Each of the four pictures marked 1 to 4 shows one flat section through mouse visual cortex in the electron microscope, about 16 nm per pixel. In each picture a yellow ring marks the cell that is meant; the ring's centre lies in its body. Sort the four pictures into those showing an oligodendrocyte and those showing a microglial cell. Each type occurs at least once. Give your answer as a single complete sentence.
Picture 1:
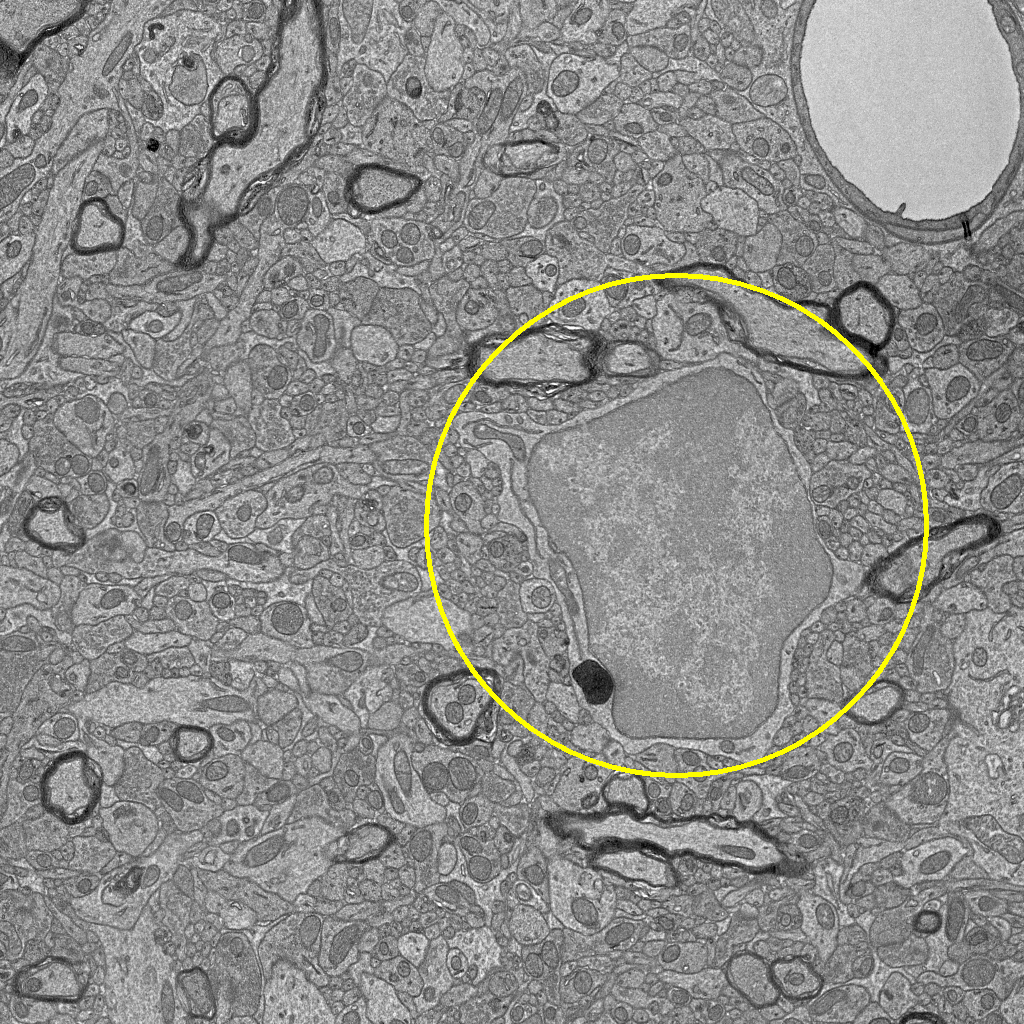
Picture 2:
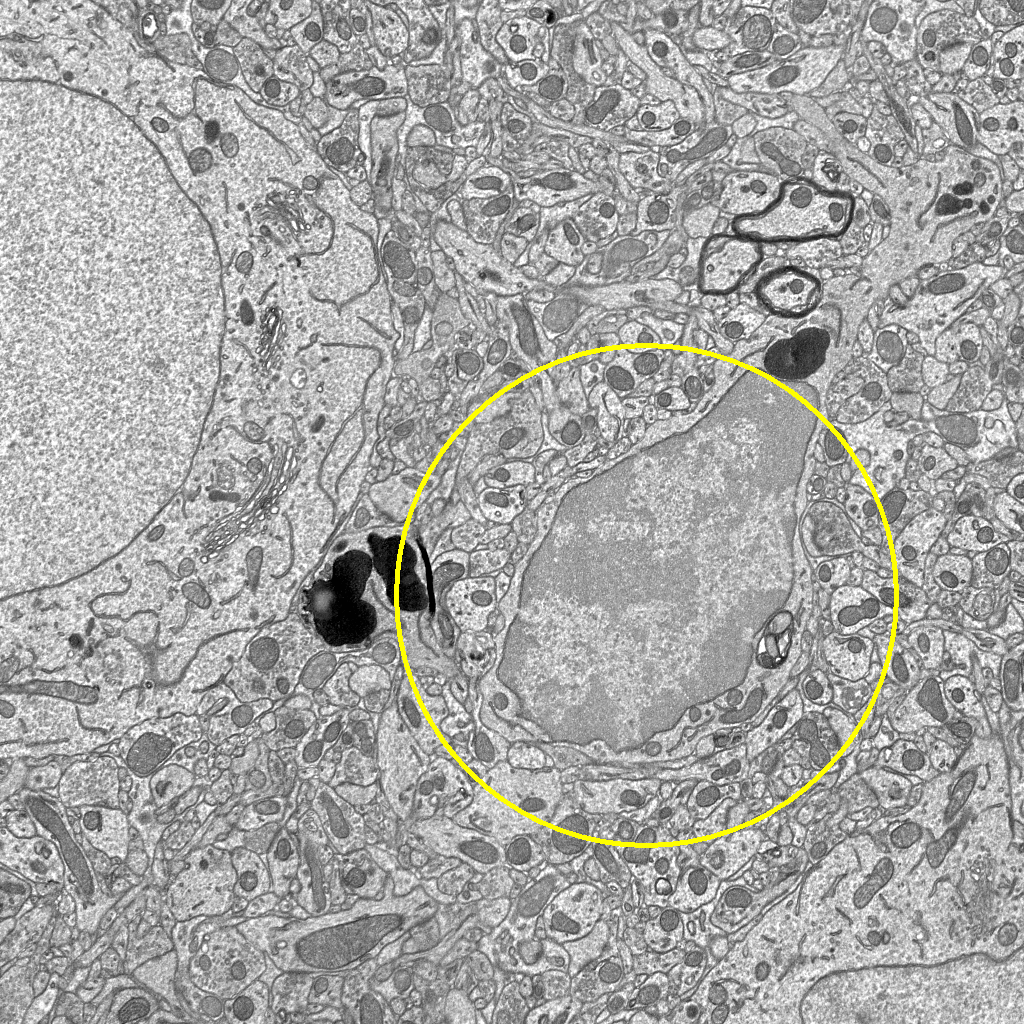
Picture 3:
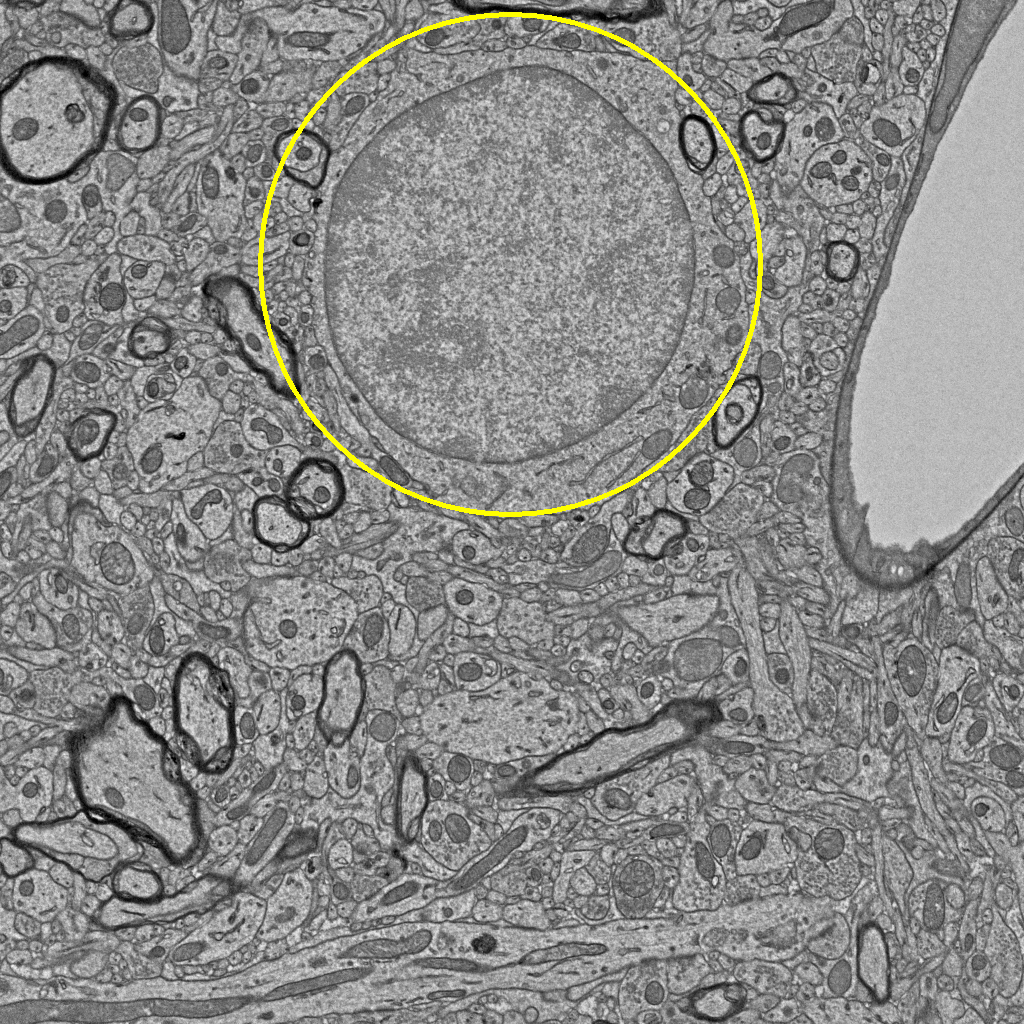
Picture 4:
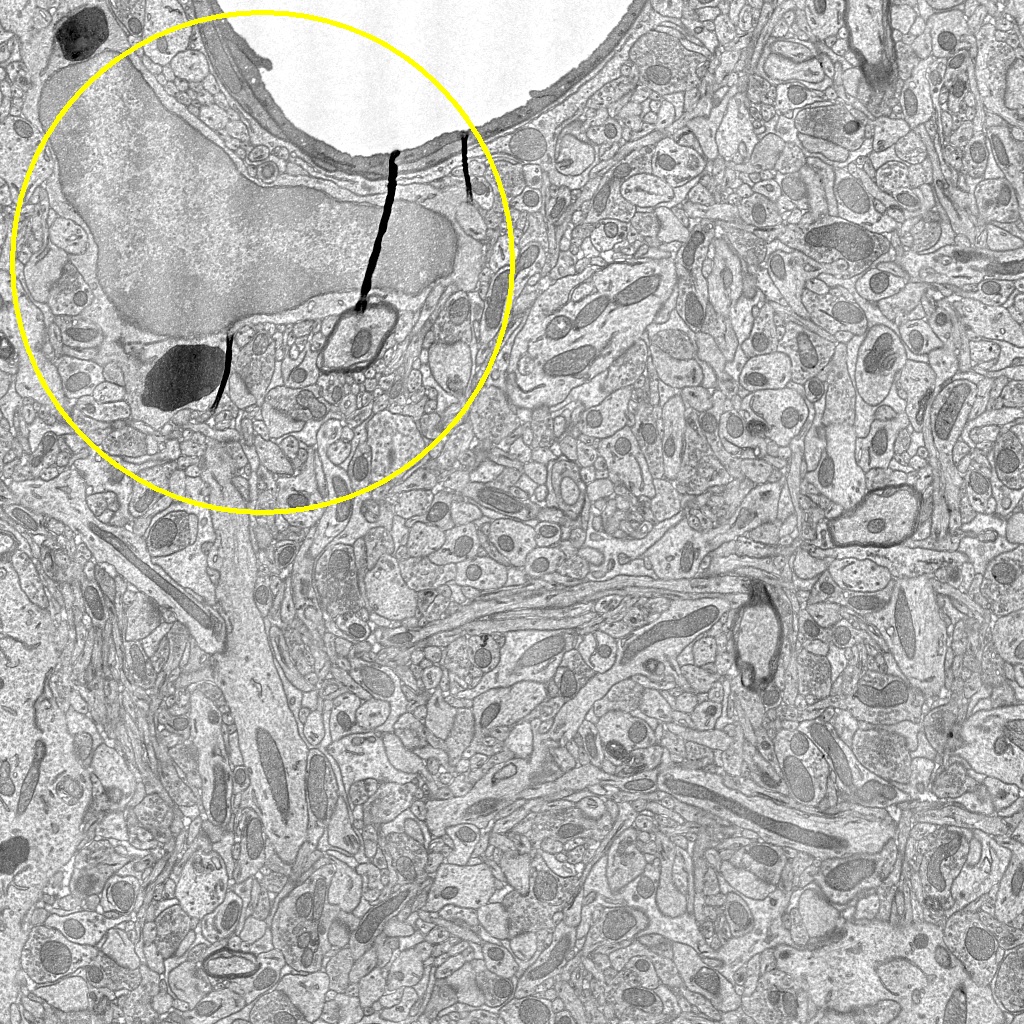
Picture 3 shows an oligodendrocyte; pictures 1, 2 and 4 show microglial cells.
